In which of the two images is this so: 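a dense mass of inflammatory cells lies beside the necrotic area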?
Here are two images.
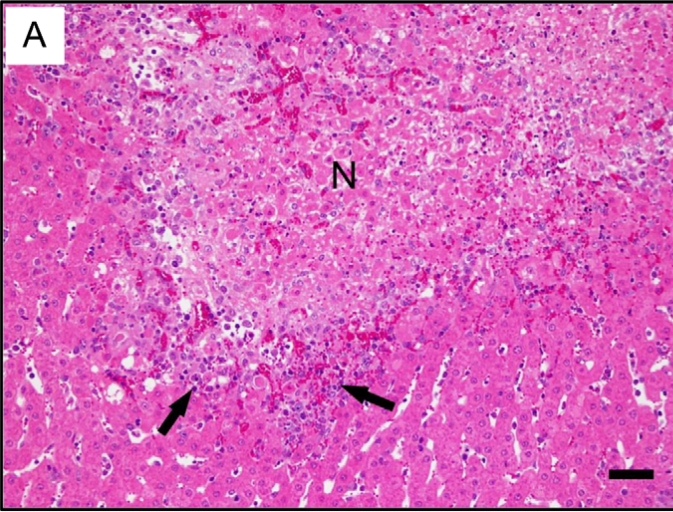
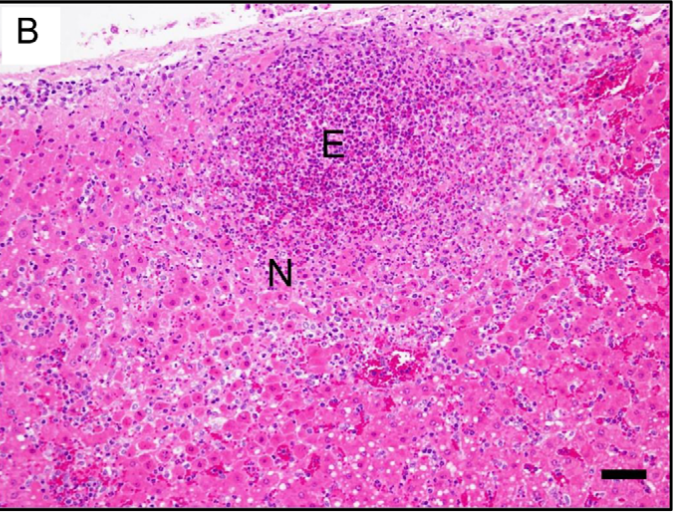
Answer: the second image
